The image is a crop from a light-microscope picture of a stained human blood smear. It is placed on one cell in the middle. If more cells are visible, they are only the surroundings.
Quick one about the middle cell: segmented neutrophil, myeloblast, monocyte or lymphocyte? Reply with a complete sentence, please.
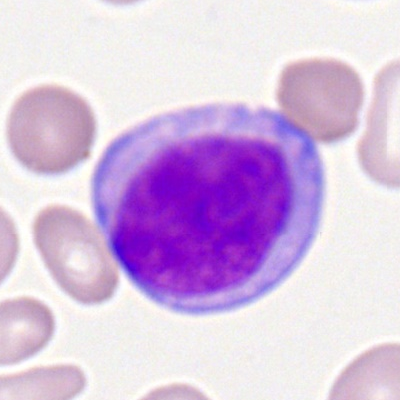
The cell shown in the center of this light-microscope crop is a myeloblast.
